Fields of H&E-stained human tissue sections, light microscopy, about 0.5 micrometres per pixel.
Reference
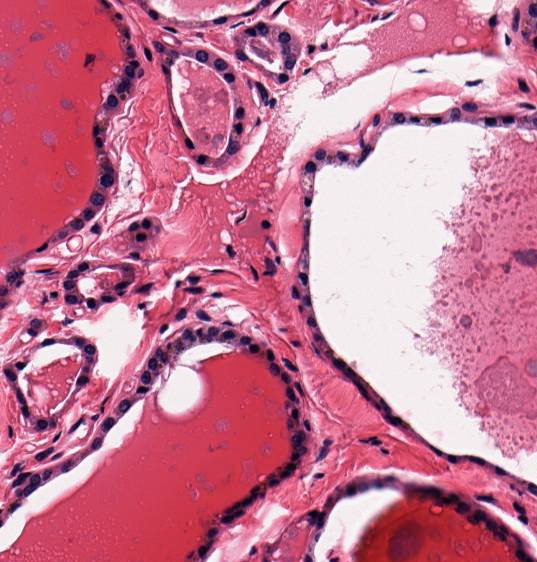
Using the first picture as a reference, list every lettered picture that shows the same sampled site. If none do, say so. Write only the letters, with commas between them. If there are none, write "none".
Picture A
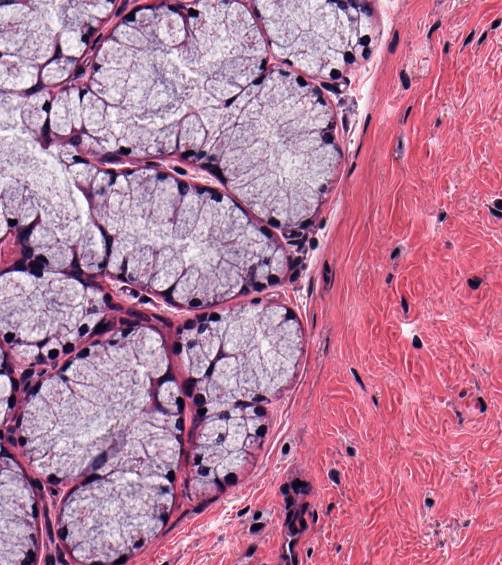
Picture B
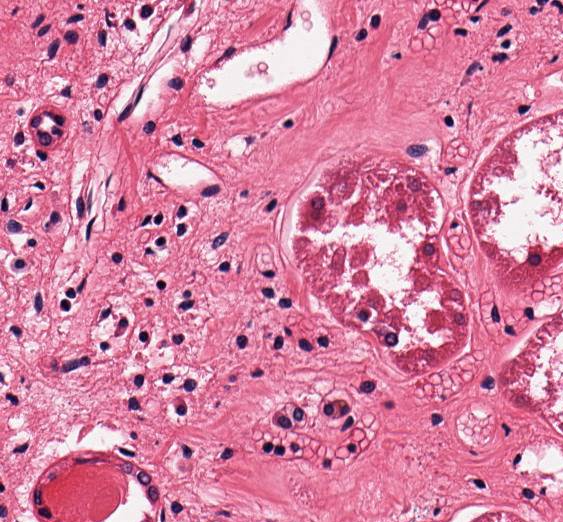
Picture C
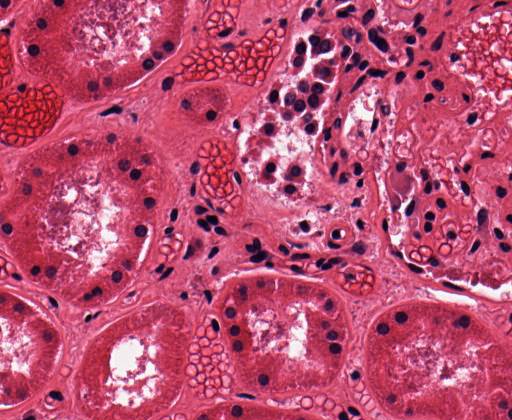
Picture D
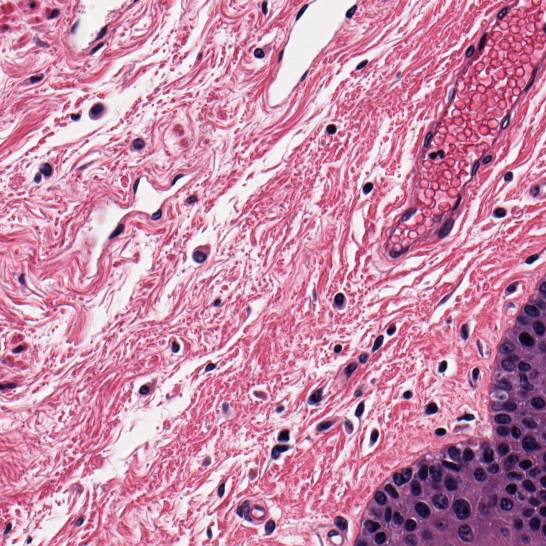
none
